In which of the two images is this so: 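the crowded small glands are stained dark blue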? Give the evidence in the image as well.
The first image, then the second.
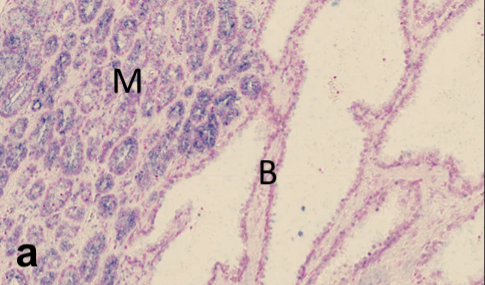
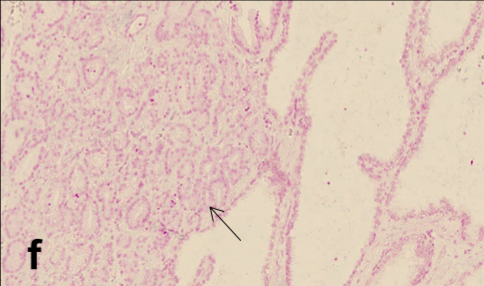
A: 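The first image. Second image: the crowded small glands are pink only, with no blue. First image: the crowded small glands are stained dark blue.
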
